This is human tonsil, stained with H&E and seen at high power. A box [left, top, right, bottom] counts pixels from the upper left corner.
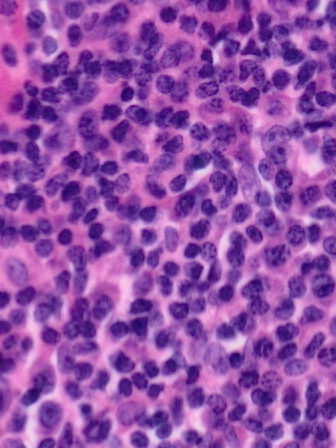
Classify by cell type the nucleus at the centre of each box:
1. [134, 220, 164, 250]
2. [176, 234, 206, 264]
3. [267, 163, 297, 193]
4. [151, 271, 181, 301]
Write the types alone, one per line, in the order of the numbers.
small lymphocyte
small lymphocyte
plasma cell
small lymphocyte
